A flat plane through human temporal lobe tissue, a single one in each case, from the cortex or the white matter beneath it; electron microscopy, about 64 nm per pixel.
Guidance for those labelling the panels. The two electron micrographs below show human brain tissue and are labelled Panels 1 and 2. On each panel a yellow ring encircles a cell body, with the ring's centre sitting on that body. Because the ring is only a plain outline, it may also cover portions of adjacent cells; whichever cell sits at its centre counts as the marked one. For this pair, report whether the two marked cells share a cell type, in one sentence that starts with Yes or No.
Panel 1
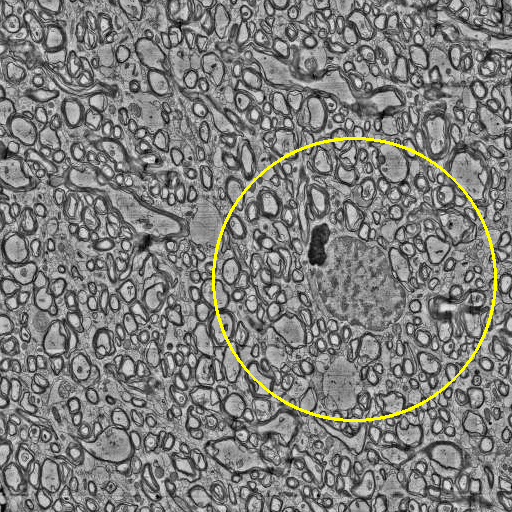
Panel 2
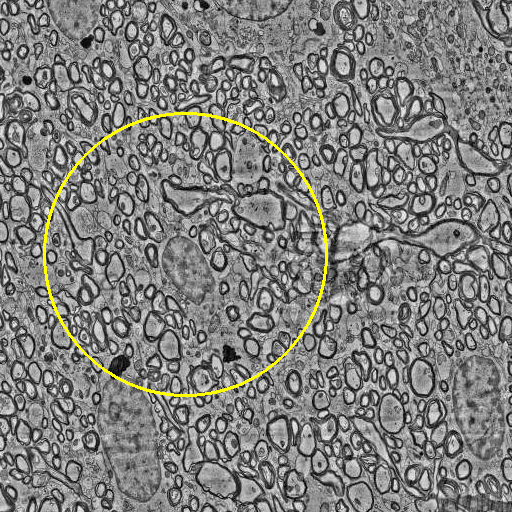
Yes, in Panel 1 and Panel 2 the marked cells at the ring centres share one type.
